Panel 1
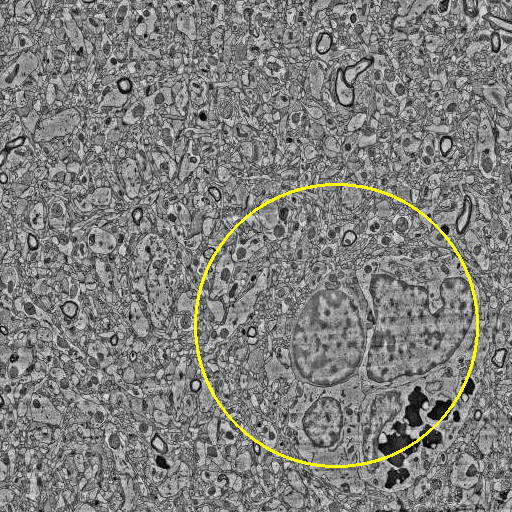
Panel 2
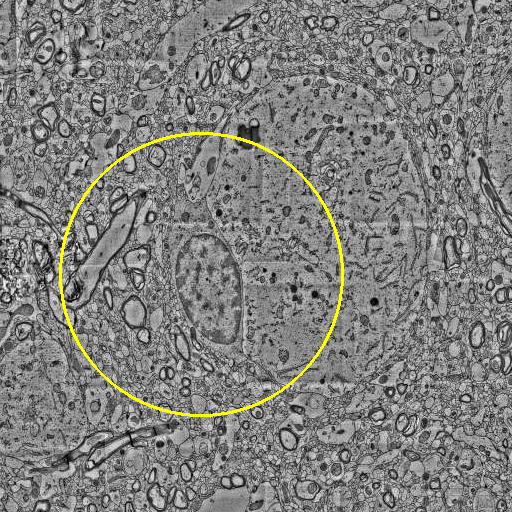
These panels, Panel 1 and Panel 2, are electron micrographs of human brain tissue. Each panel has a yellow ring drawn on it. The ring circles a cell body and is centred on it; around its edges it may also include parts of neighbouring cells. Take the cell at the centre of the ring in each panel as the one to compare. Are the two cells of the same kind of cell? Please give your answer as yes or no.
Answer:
yes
